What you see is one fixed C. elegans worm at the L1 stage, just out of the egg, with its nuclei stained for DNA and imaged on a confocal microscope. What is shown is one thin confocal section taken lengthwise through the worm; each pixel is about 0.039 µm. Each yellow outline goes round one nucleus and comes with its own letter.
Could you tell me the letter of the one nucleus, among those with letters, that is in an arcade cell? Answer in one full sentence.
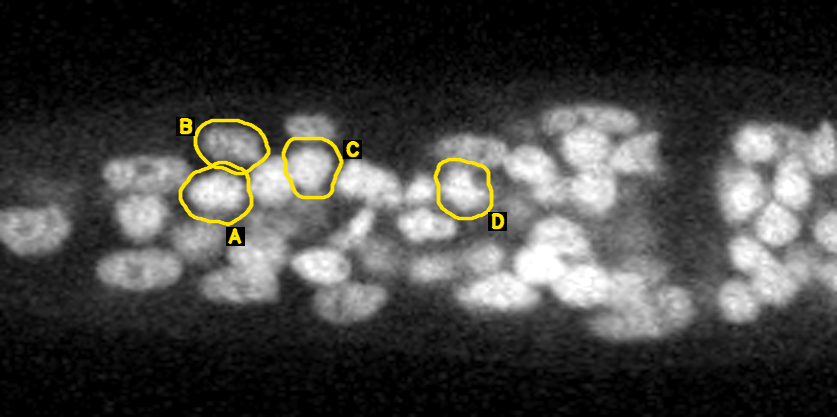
It is A that belongs to an arcade cell.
